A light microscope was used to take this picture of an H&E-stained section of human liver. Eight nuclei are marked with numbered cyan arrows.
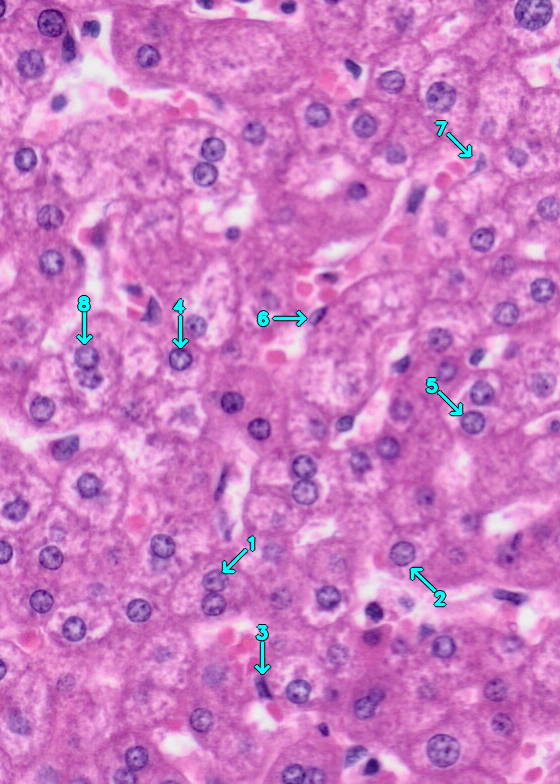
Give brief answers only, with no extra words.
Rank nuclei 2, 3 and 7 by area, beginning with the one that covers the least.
7, 3, 2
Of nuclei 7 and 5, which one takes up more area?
5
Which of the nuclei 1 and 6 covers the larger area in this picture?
1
